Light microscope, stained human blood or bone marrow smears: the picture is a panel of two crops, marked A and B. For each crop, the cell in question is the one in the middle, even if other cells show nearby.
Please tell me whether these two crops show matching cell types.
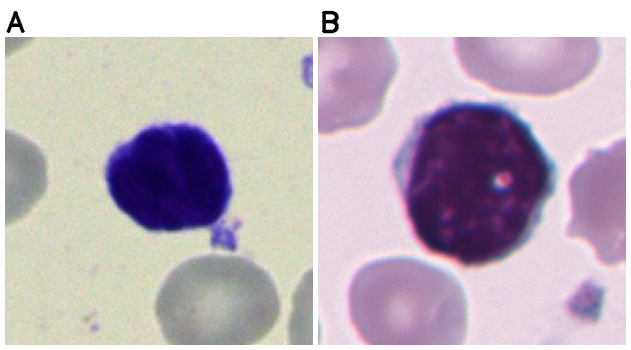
yes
